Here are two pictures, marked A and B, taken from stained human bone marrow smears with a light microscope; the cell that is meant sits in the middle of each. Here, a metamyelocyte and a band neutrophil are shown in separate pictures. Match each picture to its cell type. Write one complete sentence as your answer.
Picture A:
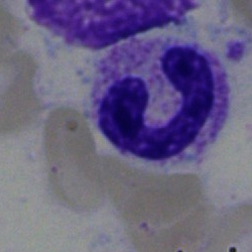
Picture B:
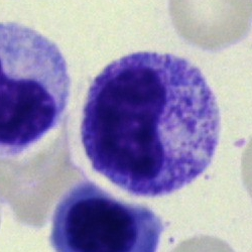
In picture A the cell is a band neutrophil; in picture B, a metamyelocyte.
